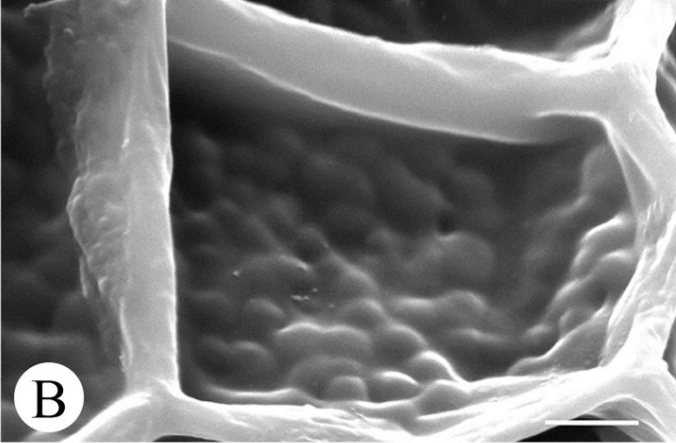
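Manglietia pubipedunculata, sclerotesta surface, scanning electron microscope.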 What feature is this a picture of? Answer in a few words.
Secondary cell wall sculpture.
